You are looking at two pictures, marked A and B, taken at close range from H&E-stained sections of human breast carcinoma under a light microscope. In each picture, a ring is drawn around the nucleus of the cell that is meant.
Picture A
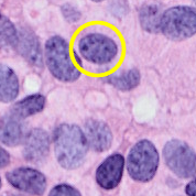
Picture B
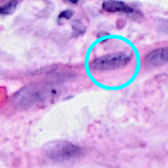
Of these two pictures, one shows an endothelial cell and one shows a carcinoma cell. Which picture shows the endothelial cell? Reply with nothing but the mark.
B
